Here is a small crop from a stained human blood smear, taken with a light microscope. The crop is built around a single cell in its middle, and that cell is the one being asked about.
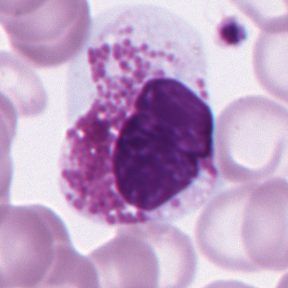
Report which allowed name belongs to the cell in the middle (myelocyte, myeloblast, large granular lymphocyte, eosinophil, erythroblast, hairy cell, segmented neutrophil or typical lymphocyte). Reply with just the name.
eosinophil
